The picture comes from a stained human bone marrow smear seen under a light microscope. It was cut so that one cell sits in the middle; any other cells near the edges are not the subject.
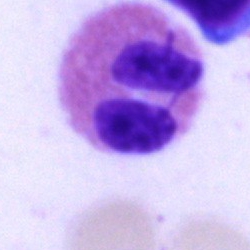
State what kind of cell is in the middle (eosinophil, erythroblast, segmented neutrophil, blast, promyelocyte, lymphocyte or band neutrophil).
eosinophil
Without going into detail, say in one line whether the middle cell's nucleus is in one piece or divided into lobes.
What stands out is the nucleus, split into two or more lobes.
